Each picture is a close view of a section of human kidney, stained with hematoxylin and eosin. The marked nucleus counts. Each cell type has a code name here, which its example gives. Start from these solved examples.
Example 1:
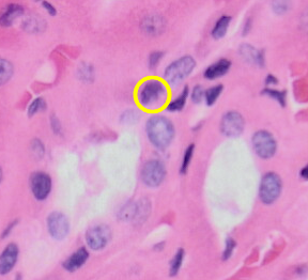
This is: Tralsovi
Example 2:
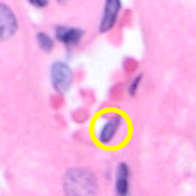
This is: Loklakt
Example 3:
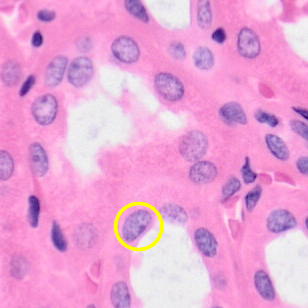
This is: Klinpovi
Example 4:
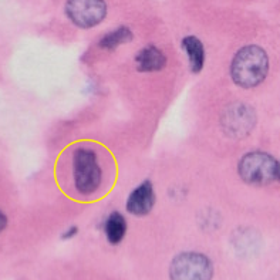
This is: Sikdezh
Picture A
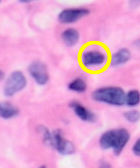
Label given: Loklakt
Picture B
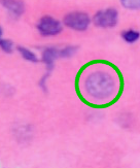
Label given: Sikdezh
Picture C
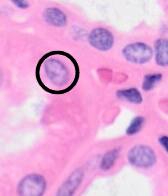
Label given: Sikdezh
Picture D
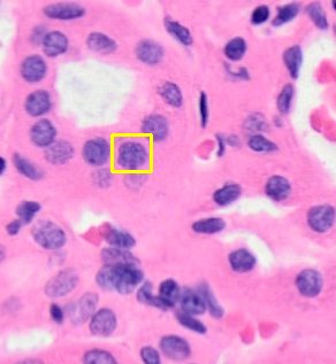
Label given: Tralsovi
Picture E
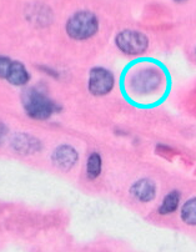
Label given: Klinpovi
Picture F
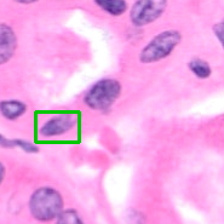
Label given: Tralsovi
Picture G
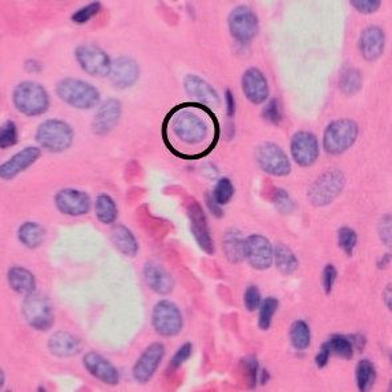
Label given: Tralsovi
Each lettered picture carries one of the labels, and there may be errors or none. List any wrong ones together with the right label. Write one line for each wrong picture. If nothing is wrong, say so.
Every label is right.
